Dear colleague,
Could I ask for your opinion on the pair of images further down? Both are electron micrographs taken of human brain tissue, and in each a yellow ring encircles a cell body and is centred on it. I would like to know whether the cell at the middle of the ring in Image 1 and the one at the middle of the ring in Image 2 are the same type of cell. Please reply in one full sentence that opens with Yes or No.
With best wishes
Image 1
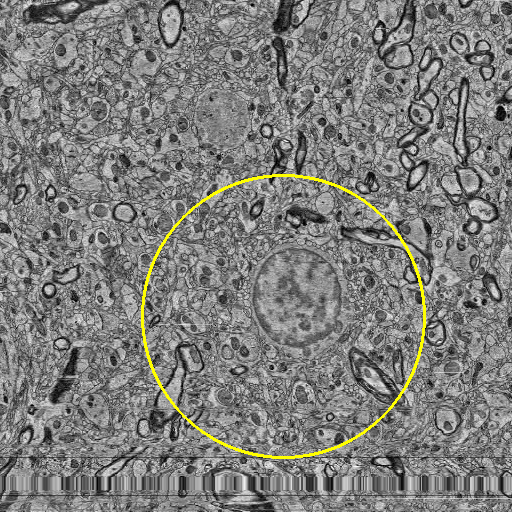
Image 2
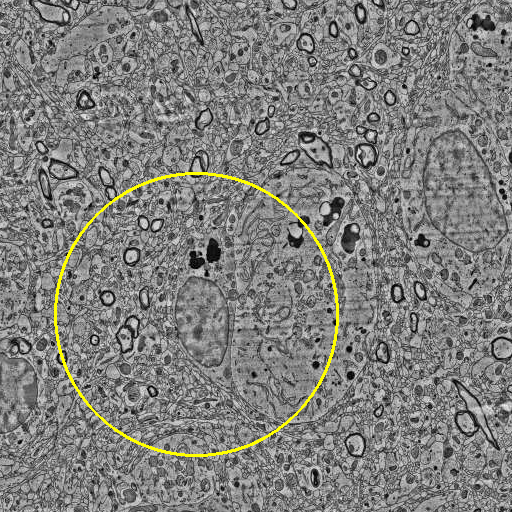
Yes, the cells at the ring centres in Image 1 and Image 2 are of one type.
